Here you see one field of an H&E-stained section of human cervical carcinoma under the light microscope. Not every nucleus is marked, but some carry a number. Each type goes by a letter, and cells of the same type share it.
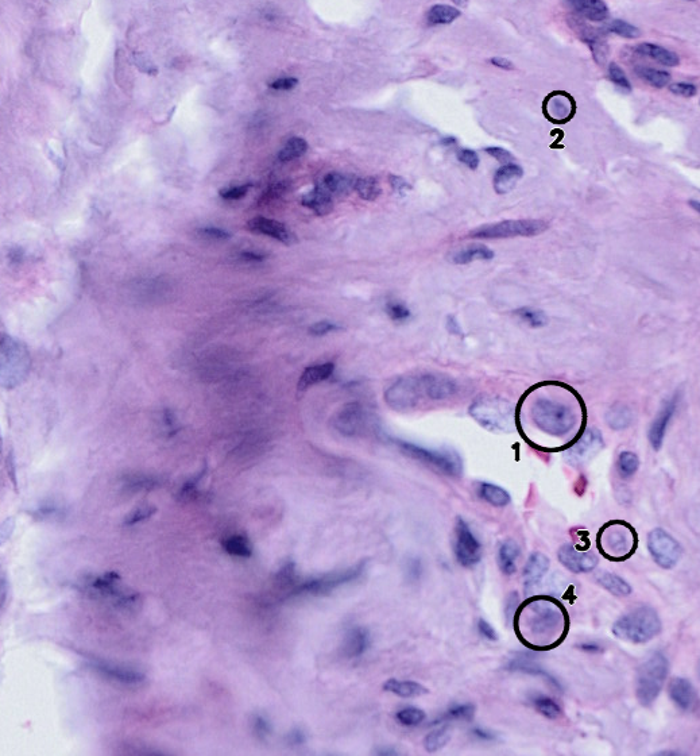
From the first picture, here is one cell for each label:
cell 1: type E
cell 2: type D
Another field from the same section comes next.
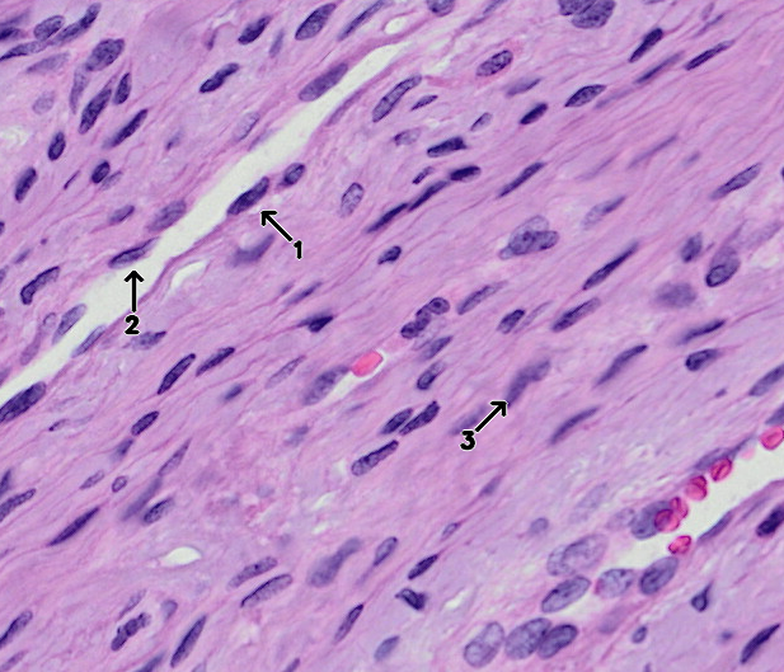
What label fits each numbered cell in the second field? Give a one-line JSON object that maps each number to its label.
{"1": "type E", "2": "type E", "3": "type D"}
